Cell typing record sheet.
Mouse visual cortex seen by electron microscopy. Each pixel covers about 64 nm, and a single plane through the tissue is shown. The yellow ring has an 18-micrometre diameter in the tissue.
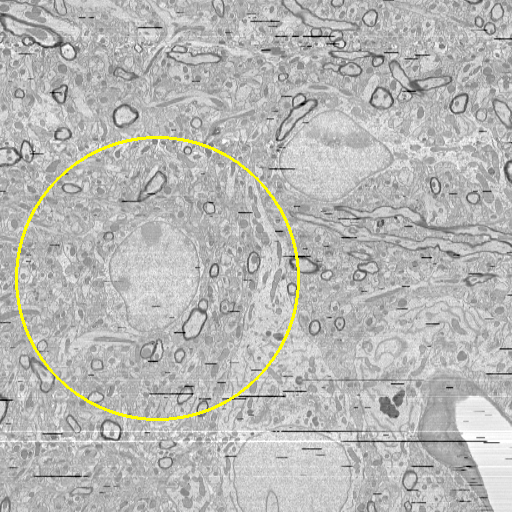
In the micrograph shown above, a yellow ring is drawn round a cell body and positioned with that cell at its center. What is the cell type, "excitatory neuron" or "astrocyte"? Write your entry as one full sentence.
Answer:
The cell body at the center of the ring belongs to an astrocyte.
